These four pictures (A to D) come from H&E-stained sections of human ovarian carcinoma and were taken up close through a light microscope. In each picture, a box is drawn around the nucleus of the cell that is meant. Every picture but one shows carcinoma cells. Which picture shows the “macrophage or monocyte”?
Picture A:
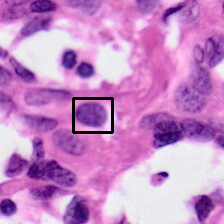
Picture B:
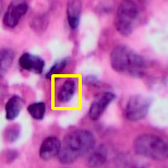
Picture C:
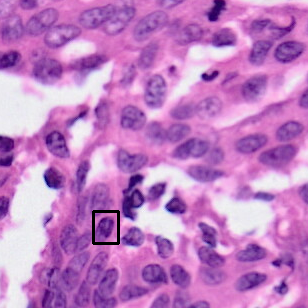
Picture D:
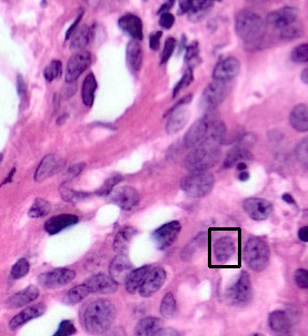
B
